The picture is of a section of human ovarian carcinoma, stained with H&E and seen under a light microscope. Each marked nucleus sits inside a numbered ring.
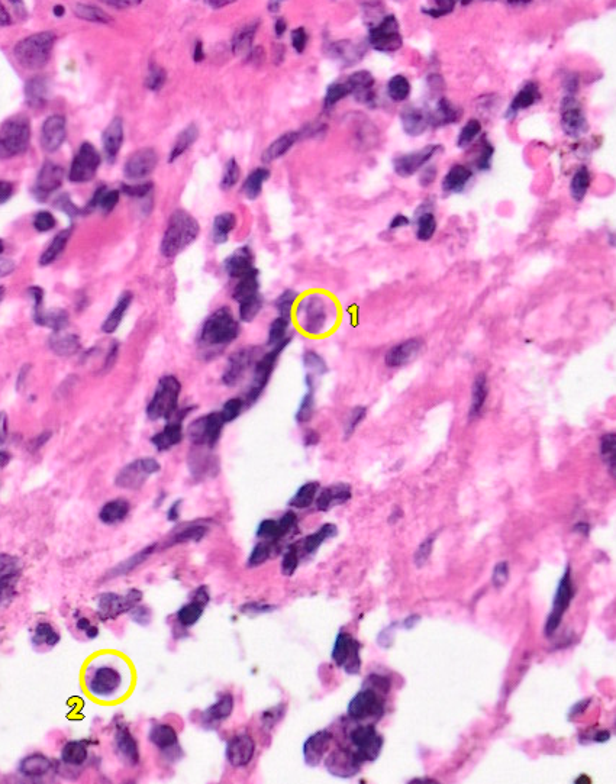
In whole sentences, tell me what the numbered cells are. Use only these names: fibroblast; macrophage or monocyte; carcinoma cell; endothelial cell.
Cell 1 is a macrophage or monocyte. Cell 2 is a carcinoma cell.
